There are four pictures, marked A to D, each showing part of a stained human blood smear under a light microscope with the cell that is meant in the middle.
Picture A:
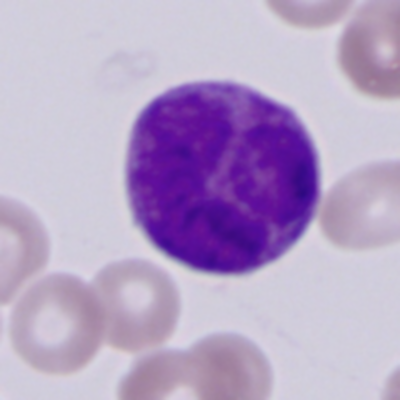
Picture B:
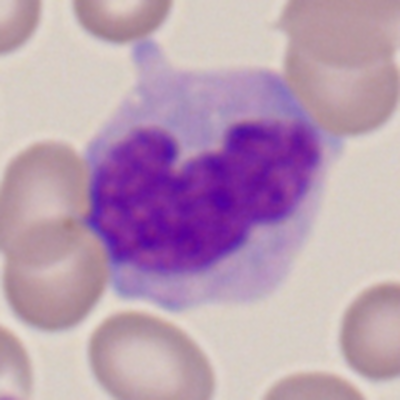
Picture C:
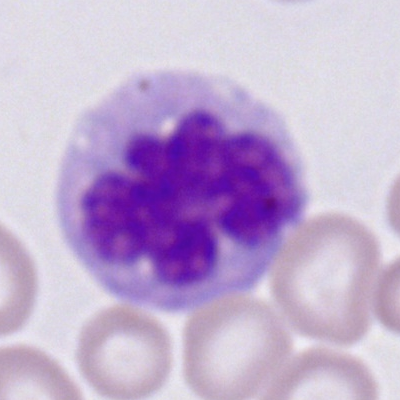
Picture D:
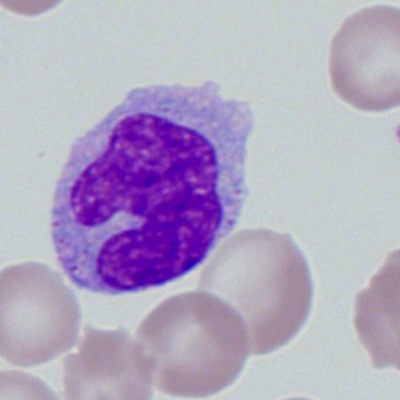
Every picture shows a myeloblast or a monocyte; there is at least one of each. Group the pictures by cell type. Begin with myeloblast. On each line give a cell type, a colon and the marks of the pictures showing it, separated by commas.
myeloblast: A
monocyte: B, C, D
